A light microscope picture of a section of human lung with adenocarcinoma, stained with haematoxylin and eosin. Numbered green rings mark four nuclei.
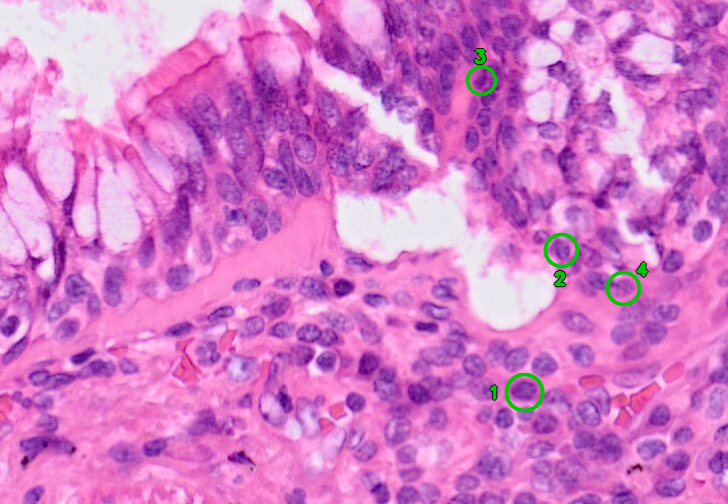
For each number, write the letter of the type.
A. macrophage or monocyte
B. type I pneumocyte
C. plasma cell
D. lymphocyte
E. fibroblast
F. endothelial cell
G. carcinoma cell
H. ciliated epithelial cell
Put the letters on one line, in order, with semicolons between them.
C; H; H; H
